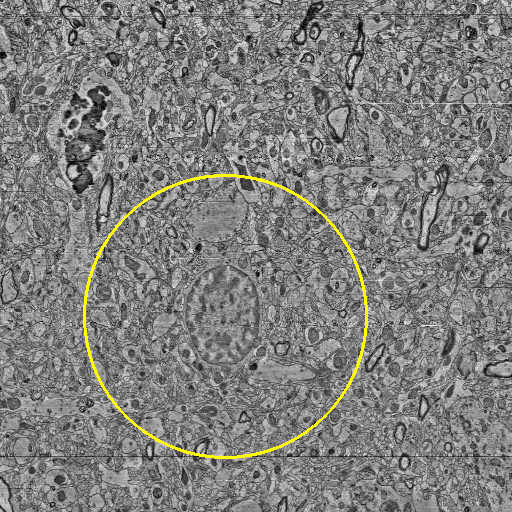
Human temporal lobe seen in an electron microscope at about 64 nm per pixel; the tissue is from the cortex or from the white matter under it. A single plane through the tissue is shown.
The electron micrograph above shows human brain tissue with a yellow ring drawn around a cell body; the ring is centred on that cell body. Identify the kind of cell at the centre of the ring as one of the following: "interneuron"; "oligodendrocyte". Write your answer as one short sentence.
The cell at the centre of the ring is an oligodendrocyte.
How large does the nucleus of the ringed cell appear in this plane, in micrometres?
The nucleus is approximately 7 micrometers long by 5 micrometers wide in this plane.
